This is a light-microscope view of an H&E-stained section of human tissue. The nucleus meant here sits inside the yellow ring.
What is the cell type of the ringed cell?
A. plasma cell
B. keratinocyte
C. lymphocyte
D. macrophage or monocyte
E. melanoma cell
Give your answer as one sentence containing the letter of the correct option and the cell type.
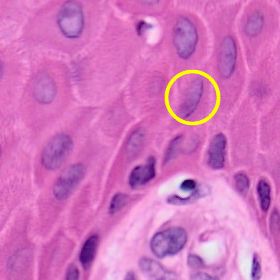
Right answer, option B: the ringed cell is a keratinocyte.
